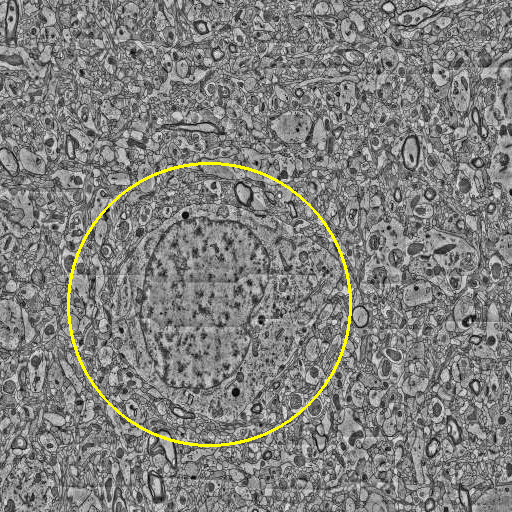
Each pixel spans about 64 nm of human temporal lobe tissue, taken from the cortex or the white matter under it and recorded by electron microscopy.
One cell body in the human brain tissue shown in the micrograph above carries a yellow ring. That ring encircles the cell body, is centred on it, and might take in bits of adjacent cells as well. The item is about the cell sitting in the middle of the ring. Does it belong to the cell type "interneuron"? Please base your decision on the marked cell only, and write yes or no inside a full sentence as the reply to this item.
Yes, the cell at the middle of the ring in the micrograph is of this kind.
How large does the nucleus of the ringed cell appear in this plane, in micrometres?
Roughly 11 by 8 micrometres in this plane, for the nucleus of the ringed cell.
